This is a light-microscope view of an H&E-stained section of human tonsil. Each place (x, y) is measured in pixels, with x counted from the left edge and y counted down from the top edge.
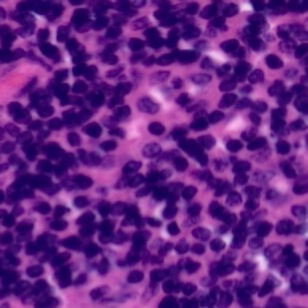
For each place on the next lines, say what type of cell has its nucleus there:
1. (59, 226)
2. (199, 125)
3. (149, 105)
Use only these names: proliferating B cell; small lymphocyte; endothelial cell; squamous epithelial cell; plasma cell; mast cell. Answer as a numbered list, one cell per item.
1. small lymphocyte
2. small lymphocyte
3. endothelial cell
